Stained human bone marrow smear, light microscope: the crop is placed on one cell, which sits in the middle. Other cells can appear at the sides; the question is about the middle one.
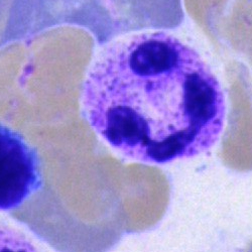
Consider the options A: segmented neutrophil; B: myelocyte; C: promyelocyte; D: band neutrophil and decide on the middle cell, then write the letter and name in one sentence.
Option A is accurate; the centrally placed cell is a segmented neutrophil.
